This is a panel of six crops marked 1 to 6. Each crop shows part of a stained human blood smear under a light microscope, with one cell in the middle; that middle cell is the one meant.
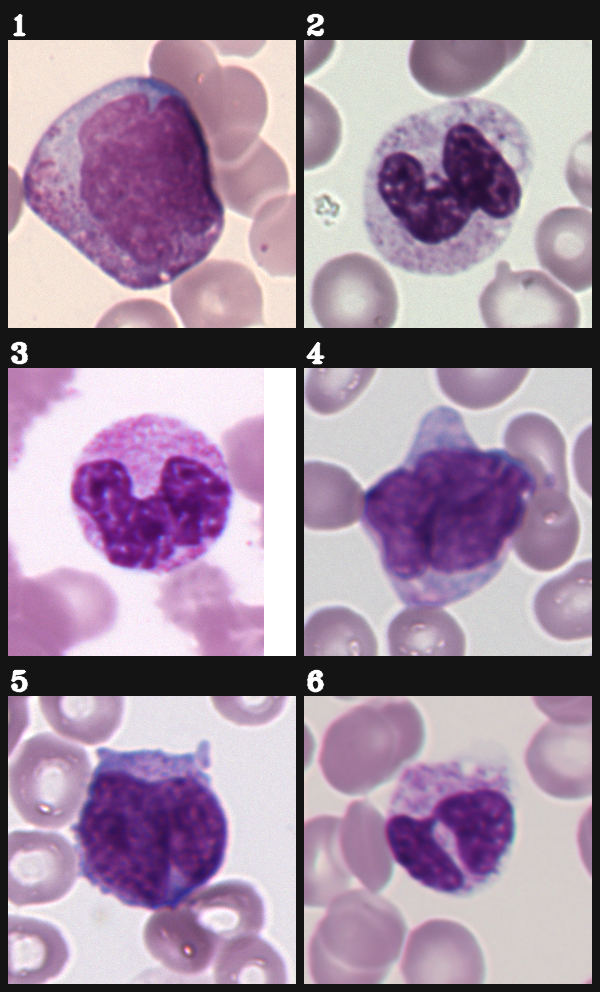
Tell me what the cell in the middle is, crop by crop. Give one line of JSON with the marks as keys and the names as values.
{"1": "atypical promyelocyte", "2": "segmented neutrophil", "3": "segmented neutrophil", "4": "atypical promyelocyte", "5": "atypical promyelocyte", "6": "segmented neutrophil"}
